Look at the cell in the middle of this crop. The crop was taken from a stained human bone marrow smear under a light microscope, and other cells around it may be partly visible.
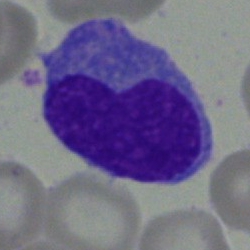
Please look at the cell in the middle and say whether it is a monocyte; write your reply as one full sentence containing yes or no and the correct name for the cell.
Yes, the cell sitting in the middle of this smear crop is a monocyte.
